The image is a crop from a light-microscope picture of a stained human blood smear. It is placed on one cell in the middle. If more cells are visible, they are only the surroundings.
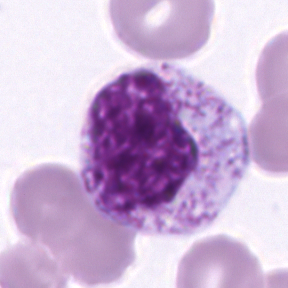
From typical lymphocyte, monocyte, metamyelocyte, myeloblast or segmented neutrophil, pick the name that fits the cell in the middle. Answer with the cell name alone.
metamyelocyte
